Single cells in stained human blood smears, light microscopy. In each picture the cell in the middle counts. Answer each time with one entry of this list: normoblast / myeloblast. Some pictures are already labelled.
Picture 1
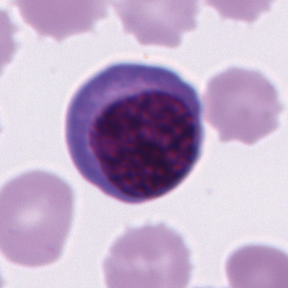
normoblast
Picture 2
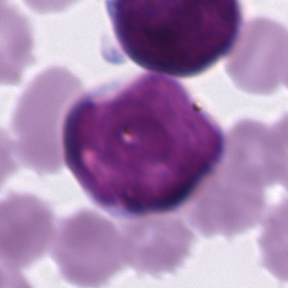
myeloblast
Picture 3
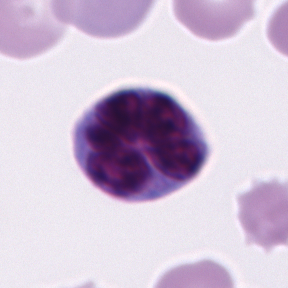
normoblast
